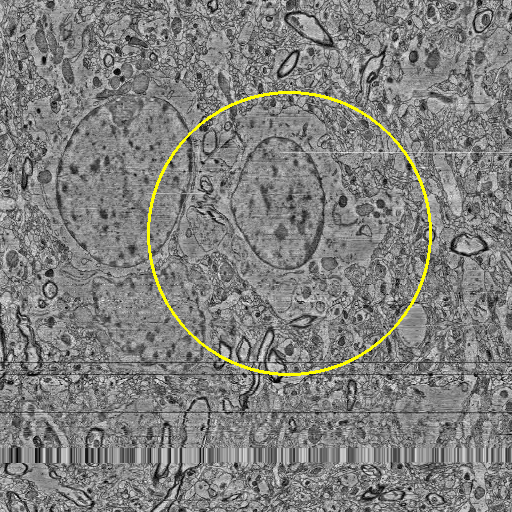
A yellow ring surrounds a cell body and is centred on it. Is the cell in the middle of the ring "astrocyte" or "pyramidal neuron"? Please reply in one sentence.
The ring is centred on an astrocyte.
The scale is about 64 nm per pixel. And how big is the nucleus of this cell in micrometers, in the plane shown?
The nucleus appears roughly 9 by 6 micrometres in this plane.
